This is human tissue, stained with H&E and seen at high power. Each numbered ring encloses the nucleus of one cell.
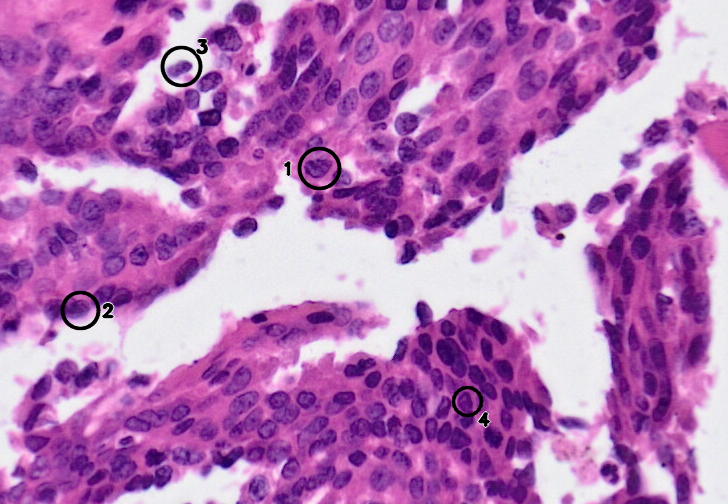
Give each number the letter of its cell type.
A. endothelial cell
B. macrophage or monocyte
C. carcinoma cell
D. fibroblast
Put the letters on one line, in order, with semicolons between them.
B; C; C; C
